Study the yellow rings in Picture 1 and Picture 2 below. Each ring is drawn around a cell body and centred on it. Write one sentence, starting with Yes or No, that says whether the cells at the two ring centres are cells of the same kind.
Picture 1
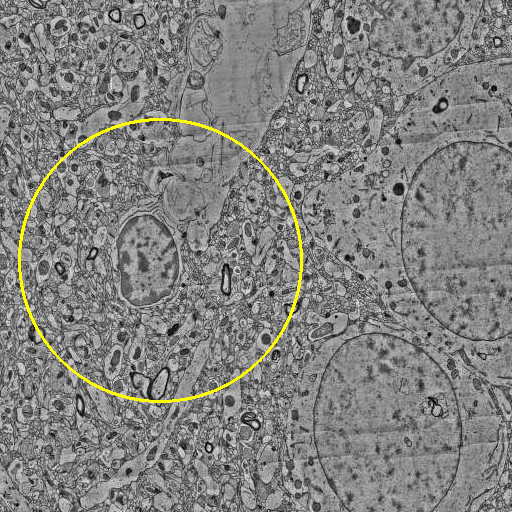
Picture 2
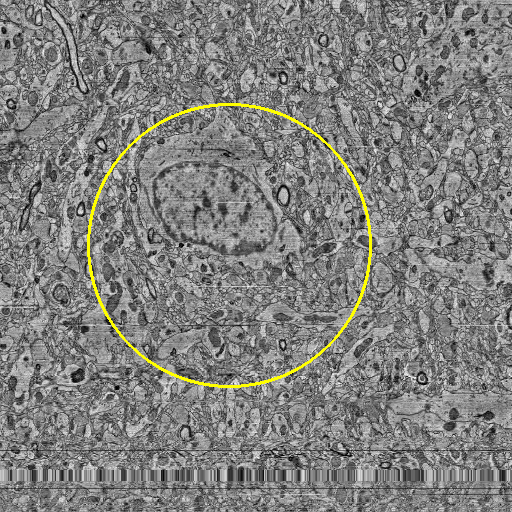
Yes, the cells at both ring centres are of the same kind.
